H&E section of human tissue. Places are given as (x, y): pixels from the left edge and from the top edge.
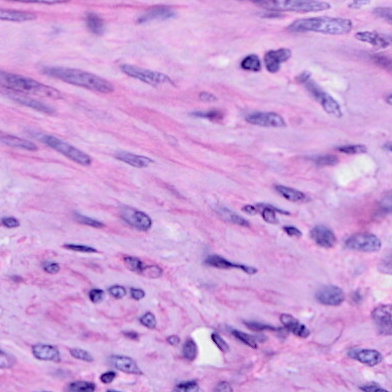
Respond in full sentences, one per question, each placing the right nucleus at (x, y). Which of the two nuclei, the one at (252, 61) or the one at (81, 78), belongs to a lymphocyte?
The nucleus at (252, 61) is part of a lymphocyte, while the other is not.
